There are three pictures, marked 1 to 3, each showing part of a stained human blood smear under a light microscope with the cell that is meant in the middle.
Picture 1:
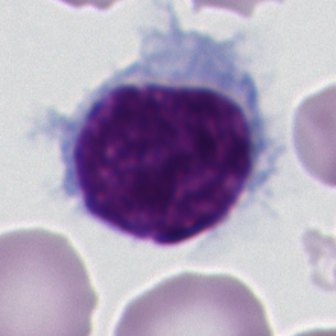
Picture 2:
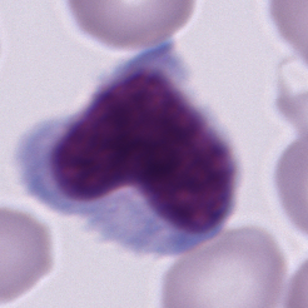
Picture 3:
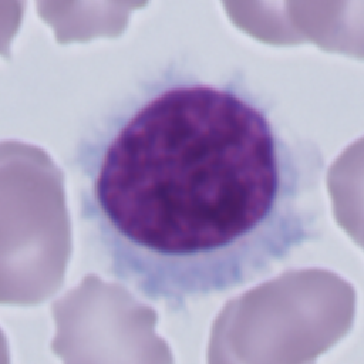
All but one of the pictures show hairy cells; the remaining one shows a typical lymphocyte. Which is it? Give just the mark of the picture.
2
